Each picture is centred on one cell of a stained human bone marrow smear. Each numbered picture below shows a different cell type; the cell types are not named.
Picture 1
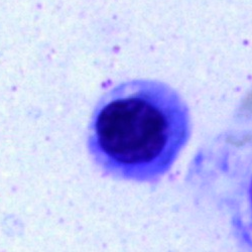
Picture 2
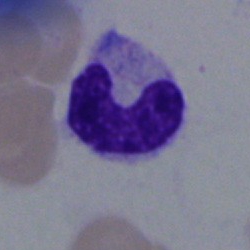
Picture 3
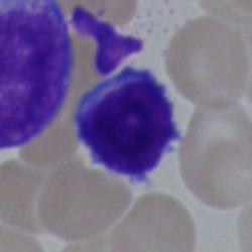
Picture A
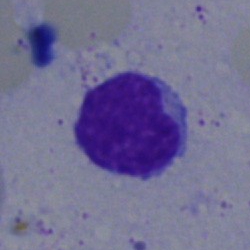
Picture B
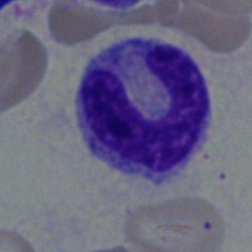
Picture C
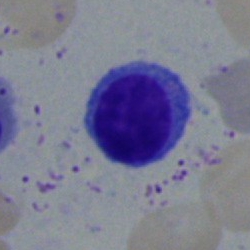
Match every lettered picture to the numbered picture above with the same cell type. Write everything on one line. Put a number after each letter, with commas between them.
A 3, B 2, C 3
